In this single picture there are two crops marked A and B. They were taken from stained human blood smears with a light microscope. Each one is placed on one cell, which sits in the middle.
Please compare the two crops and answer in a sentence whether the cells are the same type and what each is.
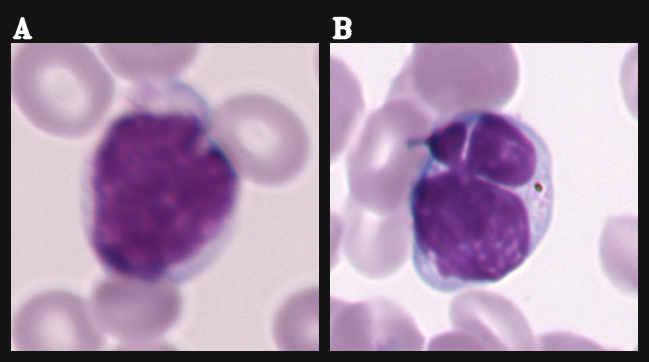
Yes, the two crops share the same answer, large granular lymphocytes.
